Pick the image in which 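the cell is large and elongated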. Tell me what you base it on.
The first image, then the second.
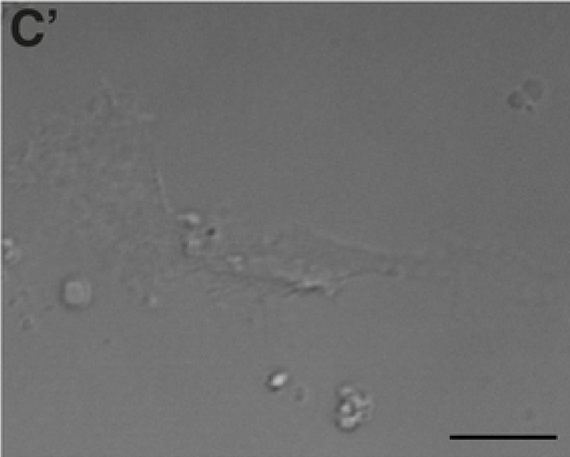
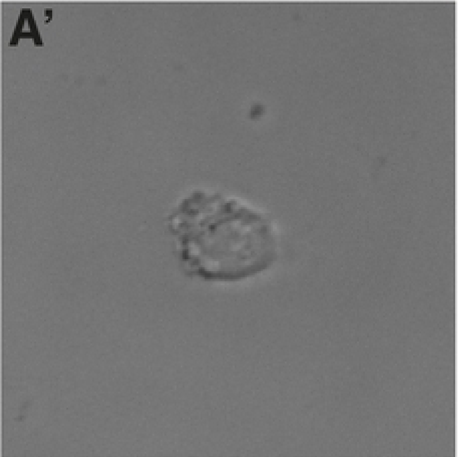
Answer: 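First image: a flat cell stretched out along one axis across much of the field. Second image: a small compact rounded cell without extensions. The answer: the first image.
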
